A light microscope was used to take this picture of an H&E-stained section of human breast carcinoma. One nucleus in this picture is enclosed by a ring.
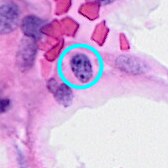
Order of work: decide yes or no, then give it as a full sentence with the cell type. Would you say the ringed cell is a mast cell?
Yes, the ringed cell is rightly regarded as a mast cell.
